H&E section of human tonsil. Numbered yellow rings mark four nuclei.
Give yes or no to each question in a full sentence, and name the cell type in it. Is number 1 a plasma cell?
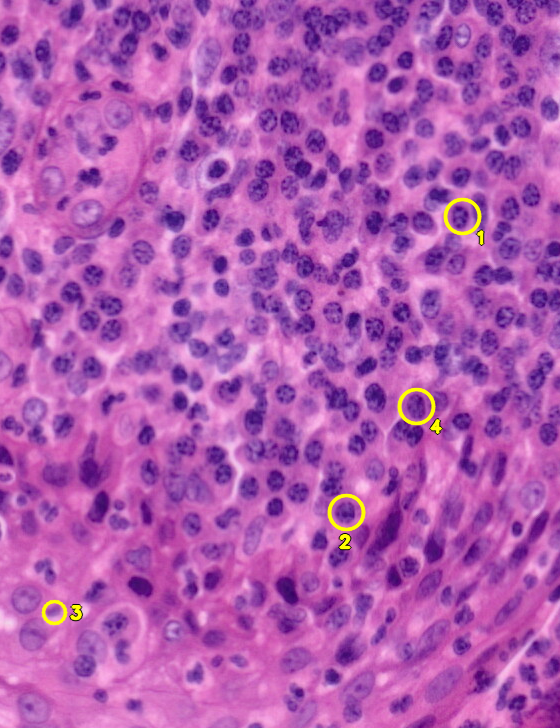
Yes, so the cell at label 1 is a plasma cell.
